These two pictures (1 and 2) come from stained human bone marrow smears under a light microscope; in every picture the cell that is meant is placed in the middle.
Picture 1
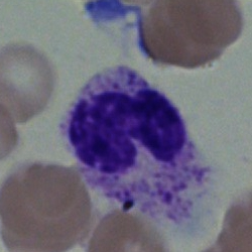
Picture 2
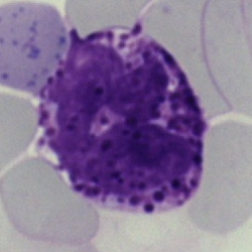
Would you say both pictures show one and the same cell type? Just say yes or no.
no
